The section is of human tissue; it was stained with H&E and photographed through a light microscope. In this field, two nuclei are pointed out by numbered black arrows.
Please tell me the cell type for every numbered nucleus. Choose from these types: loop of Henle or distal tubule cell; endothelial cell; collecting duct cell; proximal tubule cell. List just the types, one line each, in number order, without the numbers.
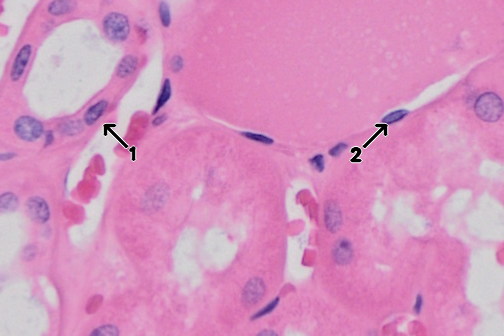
collecting duct cell
endothelial cell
